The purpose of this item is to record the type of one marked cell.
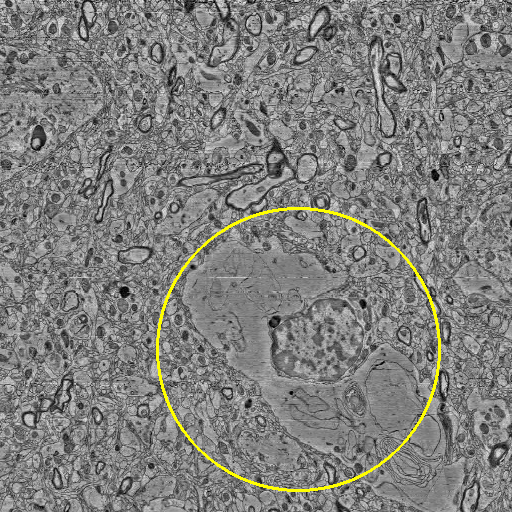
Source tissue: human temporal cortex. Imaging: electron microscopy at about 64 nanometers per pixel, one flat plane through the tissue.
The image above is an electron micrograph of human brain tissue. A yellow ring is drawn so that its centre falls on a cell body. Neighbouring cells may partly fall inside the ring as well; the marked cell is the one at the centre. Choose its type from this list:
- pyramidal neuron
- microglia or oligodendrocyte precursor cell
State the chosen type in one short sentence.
What the ring marks here is a microglial cell or oligodendrocyte precursor cell.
